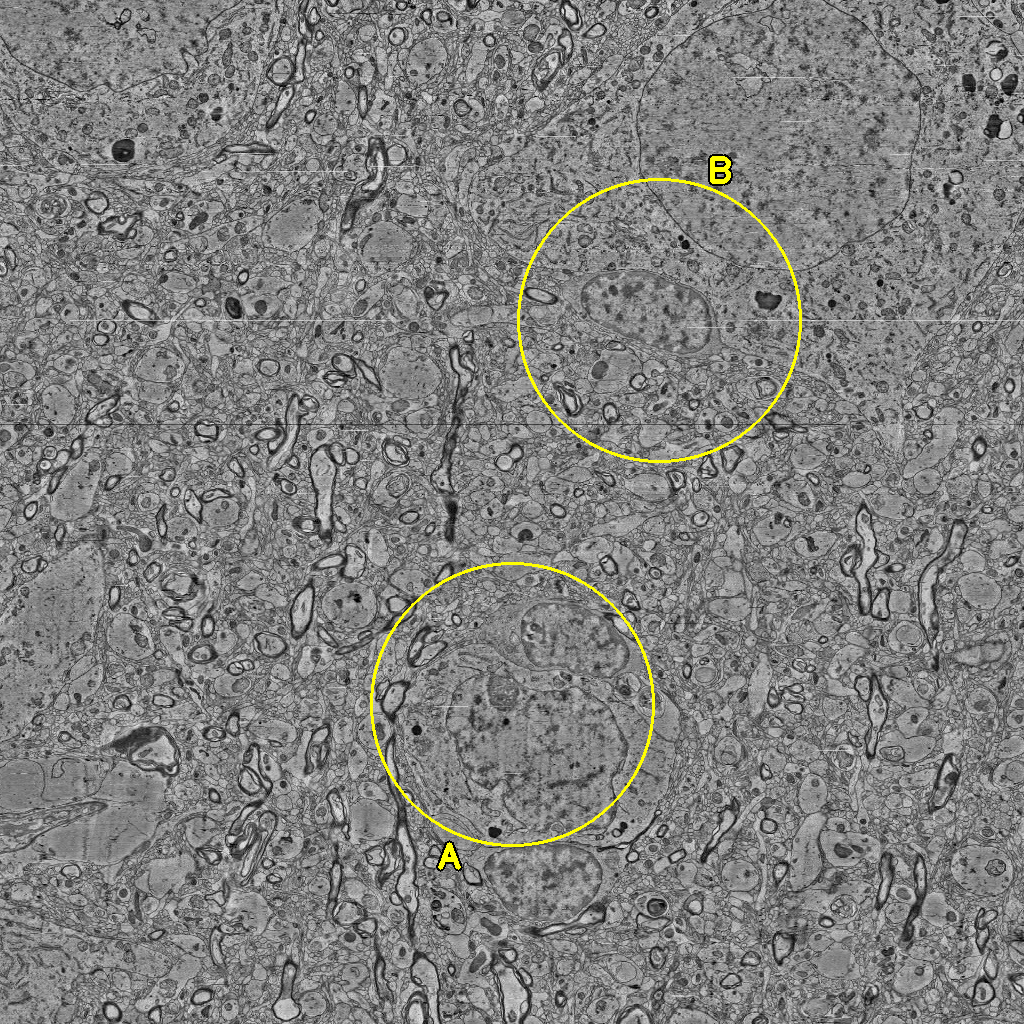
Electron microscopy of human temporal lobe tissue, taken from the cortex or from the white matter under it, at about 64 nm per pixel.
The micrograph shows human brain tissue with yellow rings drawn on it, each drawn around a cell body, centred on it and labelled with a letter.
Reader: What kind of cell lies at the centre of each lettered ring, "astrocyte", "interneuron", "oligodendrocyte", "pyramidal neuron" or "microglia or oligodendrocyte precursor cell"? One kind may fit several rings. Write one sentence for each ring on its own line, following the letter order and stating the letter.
At the centre of ring A lies an interneuron.
At the centre of ring B lies an oligodendrocyte.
